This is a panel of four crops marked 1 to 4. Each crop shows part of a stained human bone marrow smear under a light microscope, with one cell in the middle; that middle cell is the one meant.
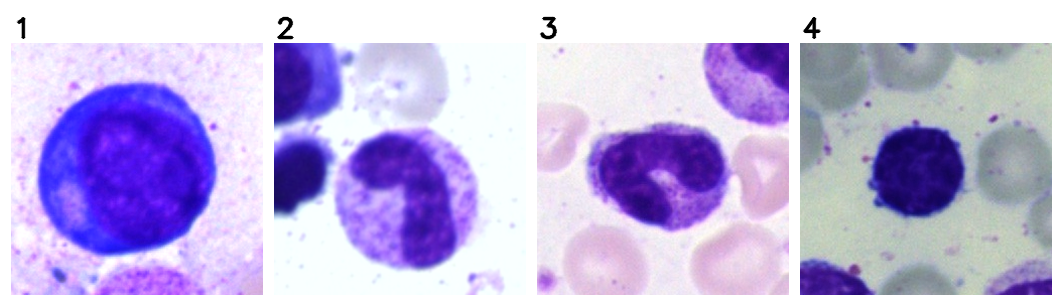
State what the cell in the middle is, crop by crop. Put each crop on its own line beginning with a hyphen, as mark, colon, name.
- 1: proerythroblast
- 2: band neutrophil
- 3: band neutrophil
- 4: lymphocyte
